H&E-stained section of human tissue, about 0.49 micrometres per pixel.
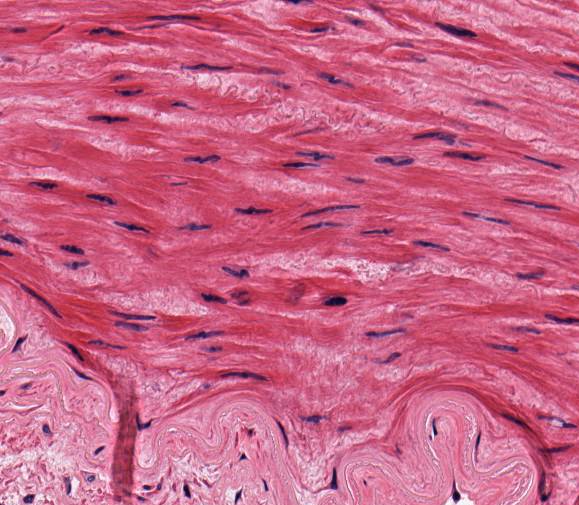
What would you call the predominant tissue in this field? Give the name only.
tunica media of an artery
